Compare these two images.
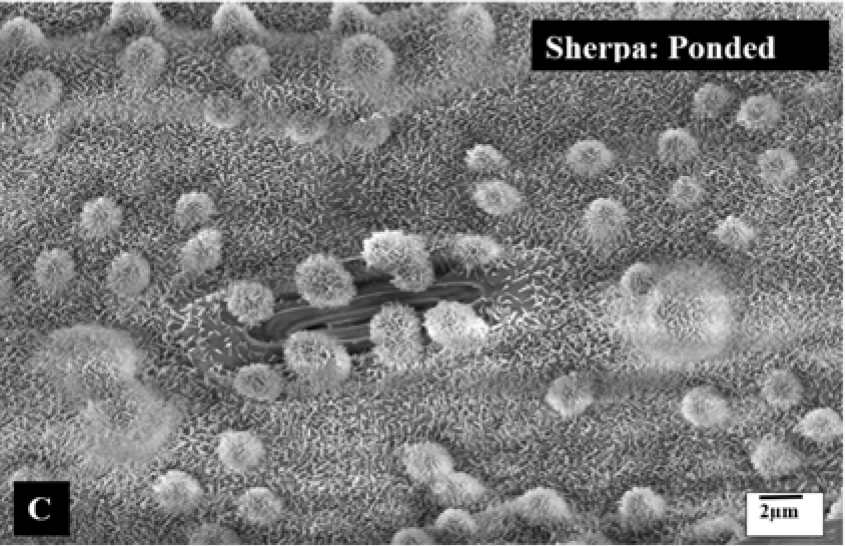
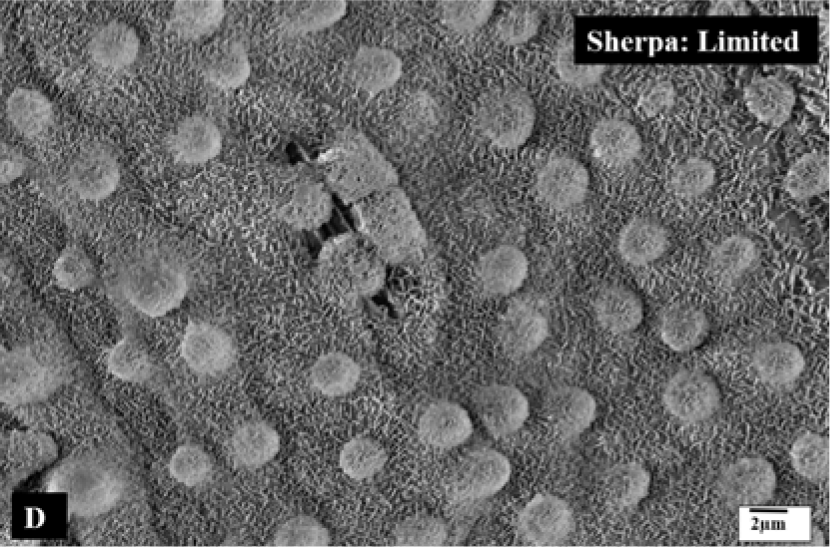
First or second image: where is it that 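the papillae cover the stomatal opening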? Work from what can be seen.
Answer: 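First image: the slit-like stomatal pore in the centre is open to view, with knobs ringed around it. Second image: knobs sit over the stoma in the centre, leaving only dark narrow cracks visible. So: the second image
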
